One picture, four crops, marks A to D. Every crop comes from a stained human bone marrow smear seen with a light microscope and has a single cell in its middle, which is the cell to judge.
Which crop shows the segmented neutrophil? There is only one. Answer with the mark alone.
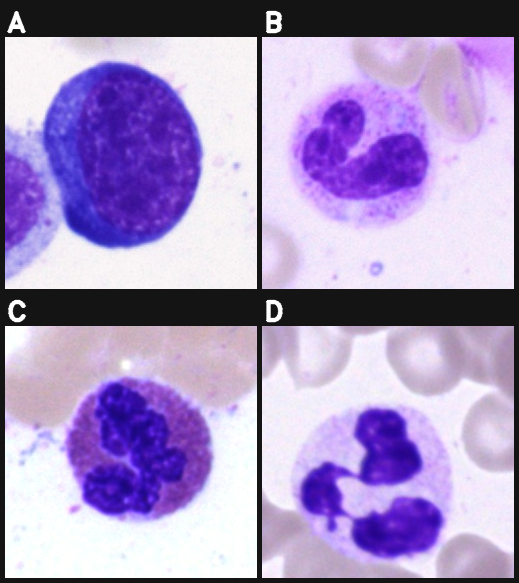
D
